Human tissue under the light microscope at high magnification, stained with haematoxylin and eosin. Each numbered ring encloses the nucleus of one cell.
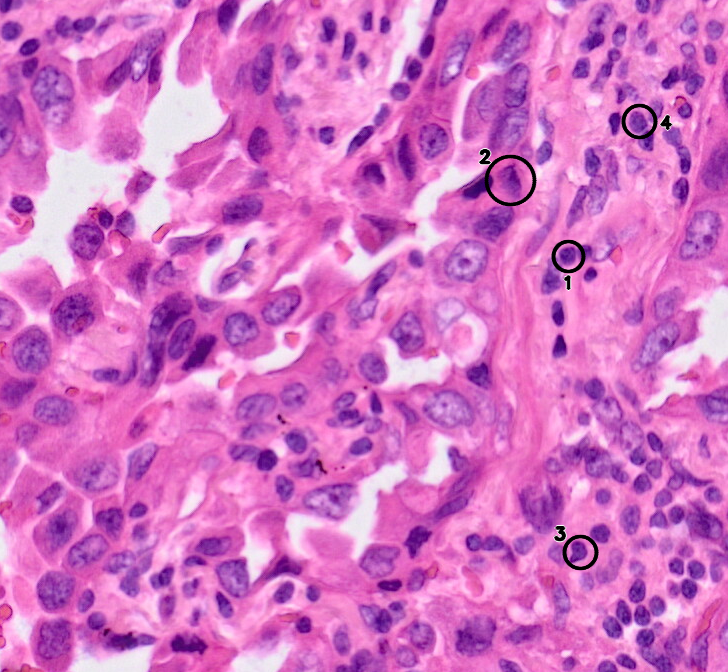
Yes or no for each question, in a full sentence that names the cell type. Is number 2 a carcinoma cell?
Yes, the cell with its nucleus marked 2 is a carcinoma cell.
